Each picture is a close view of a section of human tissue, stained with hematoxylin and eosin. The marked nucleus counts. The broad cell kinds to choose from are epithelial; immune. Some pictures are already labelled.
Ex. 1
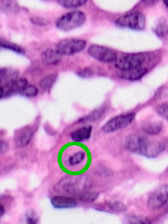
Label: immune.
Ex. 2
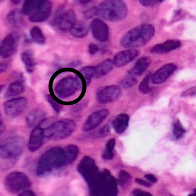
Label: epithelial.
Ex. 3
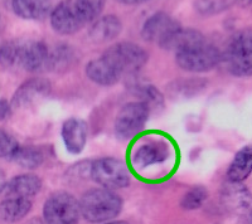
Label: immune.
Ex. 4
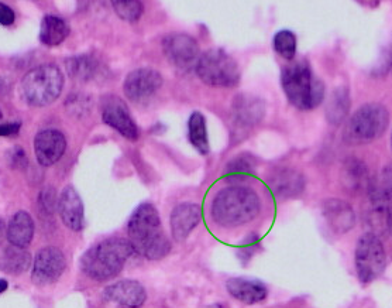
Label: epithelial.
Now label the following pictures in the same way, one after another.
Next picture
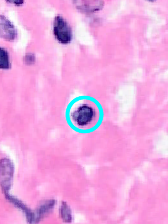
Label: immune.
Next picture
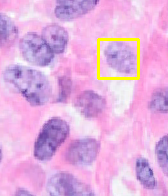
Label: epithelial.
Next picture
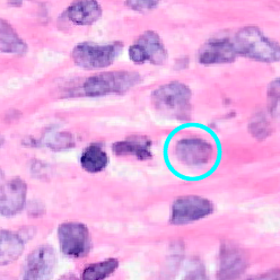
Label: epithelial.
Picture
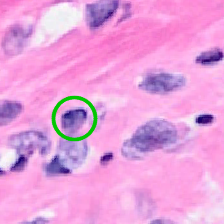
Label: immune.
